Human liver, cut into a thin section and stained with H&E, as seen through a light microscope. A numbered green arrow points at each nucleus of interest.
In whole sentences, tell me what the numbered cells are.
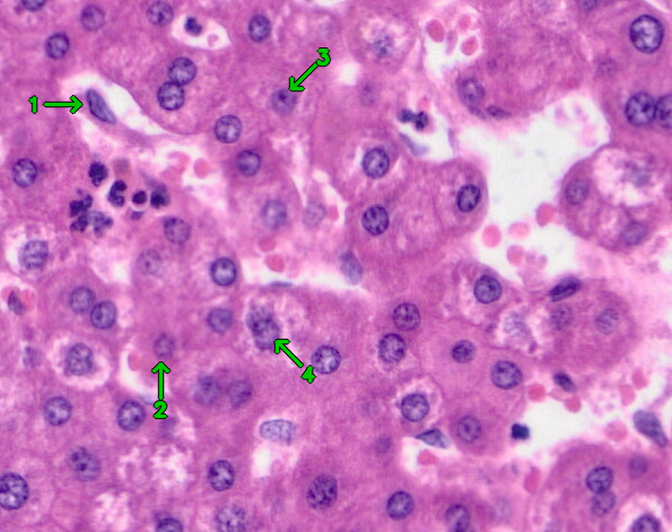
Cell 1 is a Kupffer cell, cell 2 is a hepatocyte, cell 3 is a hepatocyte and cell 4 is a hepatocyte.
